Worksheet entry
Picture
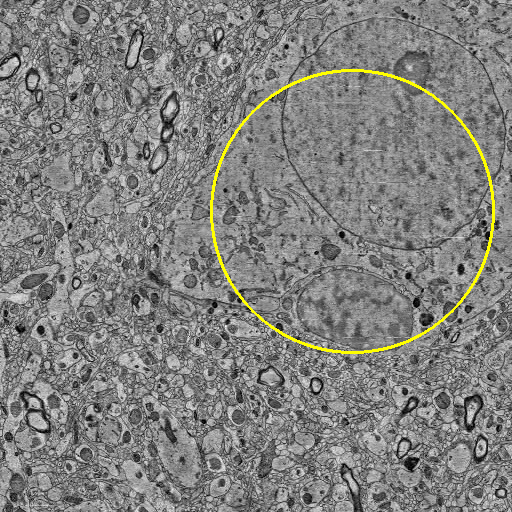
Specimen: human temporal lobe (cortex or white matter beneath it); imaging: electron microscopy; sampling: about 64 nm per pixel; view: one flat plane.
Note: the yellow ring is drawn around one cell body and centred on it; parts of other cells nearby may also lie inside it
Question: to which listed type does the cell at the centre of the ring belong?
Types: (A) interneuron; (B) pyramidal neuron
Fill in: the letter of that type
B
